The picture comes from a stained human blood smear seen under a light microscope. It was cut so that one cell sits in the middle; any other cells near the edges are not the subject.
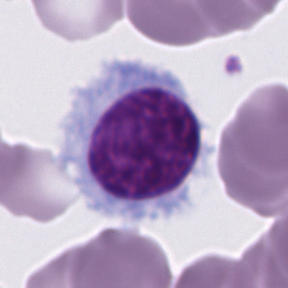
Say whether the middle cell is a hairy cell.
yes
